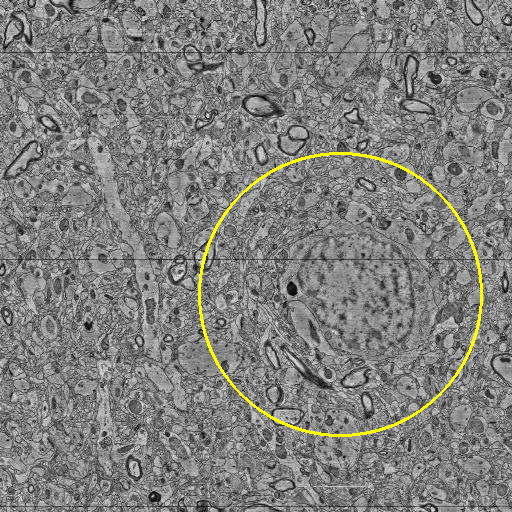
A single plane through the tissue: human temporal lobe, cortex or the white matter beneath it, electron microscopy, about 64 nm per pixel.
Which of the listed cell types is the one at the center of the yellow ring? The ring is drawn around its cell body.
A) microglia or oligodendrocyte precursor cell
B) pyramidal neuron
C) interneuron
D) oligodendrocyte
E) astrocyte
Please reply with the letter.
C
